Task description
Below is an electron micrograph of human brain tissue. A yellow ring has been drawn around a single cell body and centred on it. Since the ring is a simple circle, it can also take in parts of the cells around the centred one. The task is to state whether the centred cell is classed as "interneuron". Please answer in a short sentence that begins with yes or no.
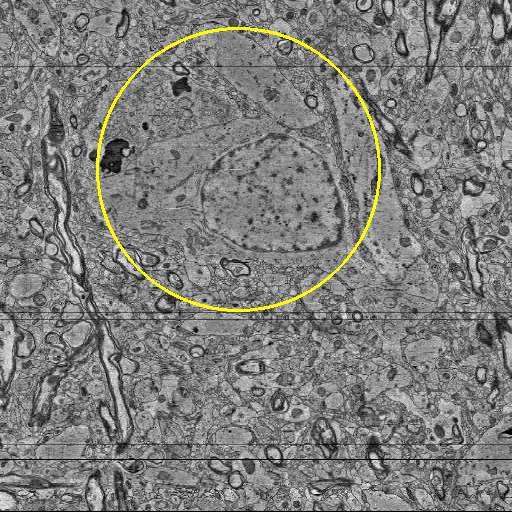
No, the centred cell is classed otherwise.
